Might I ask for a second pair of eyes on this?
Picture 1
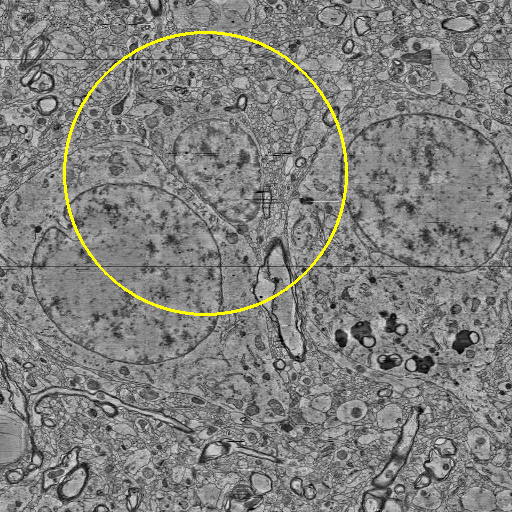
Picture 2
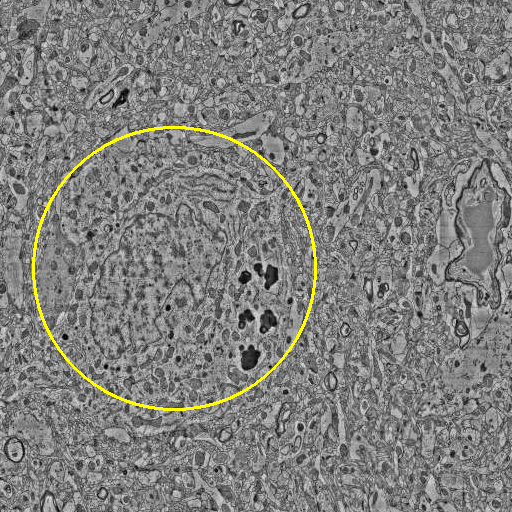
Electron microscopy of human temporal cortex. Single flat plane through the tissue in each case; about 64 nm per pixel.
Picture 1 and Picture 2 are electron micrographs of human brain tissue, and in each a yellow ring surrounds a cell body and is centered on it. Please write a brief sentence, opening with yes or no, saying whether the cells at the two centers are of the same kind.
No, the cells are of two kinds.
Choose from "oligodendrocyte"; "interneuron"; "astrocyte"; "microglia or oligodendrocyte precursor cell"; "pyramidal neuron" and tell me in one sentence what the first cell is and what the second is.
What the first ring is centred on is an oligodendrocyte; what the second ring is centred on is an interneuron.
